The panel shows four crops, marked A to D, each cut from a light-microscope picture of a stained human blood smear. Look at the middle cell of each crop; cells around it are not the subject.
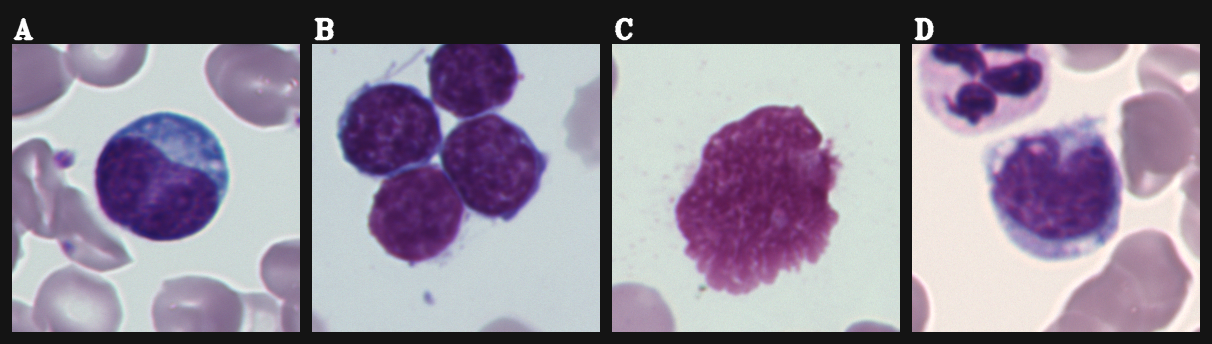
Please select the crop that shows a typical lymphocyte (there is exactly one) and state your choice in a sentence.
The sole crop showing a typical lymphocyte is crop A.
